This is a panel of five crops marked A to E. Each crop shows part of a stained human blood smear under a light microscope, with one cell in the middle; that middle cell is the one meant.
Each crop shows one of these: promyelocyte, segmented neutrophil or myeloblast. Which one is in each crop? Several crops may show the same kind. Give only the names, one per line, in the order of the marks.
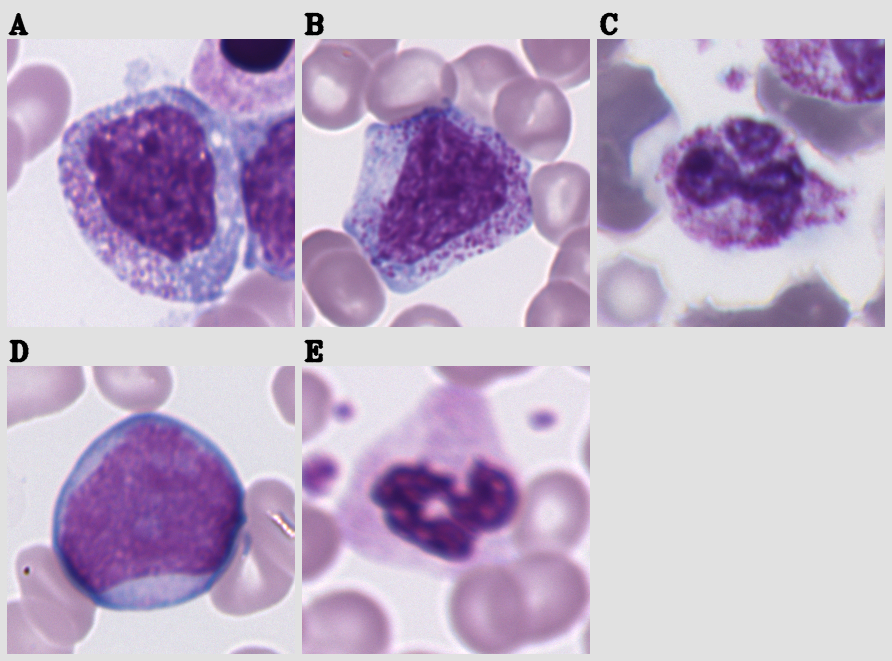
promyelocyte
promyelocyte
segmented neutrophil
myeloblast
segmented neutrophil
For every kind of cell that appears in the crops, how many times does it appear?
promyelocyte: 2
segmented neutrophil: 2
myeloblast: 1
